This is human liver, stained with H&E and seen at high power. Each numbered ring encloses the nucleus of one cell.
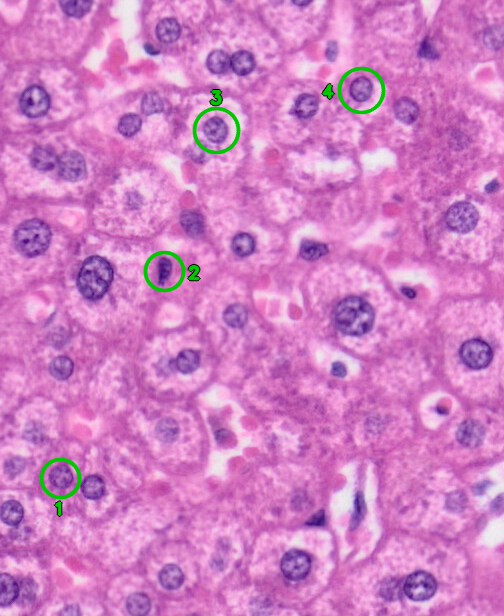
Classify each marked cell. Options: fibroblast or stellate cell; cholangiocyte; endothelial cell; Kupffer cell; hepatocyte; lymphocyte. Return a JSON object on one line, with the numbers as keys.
{"1": "hepatocyte", "2": "fibroblast or stellate cell", "3": "hepatocyte", "4": "hepatocyte"}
